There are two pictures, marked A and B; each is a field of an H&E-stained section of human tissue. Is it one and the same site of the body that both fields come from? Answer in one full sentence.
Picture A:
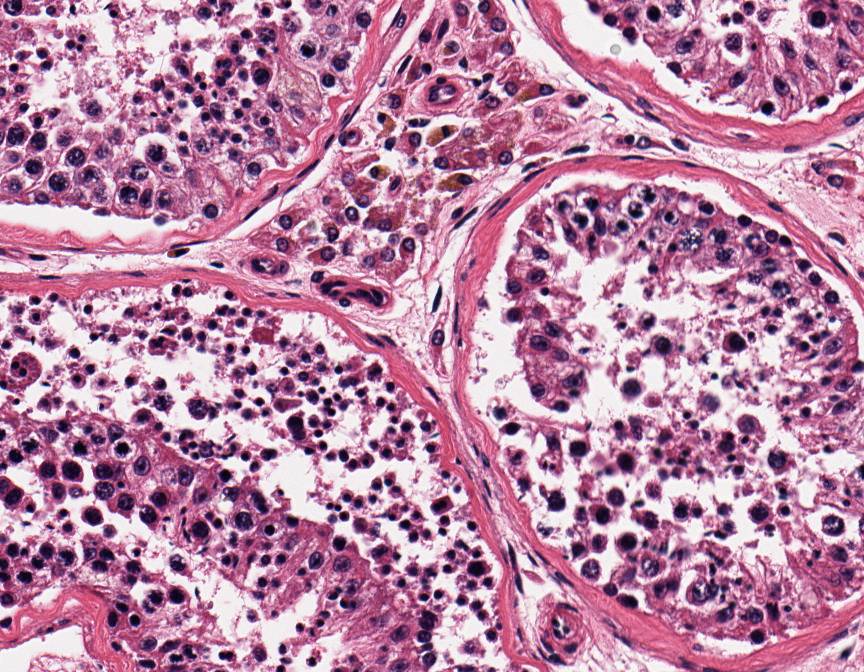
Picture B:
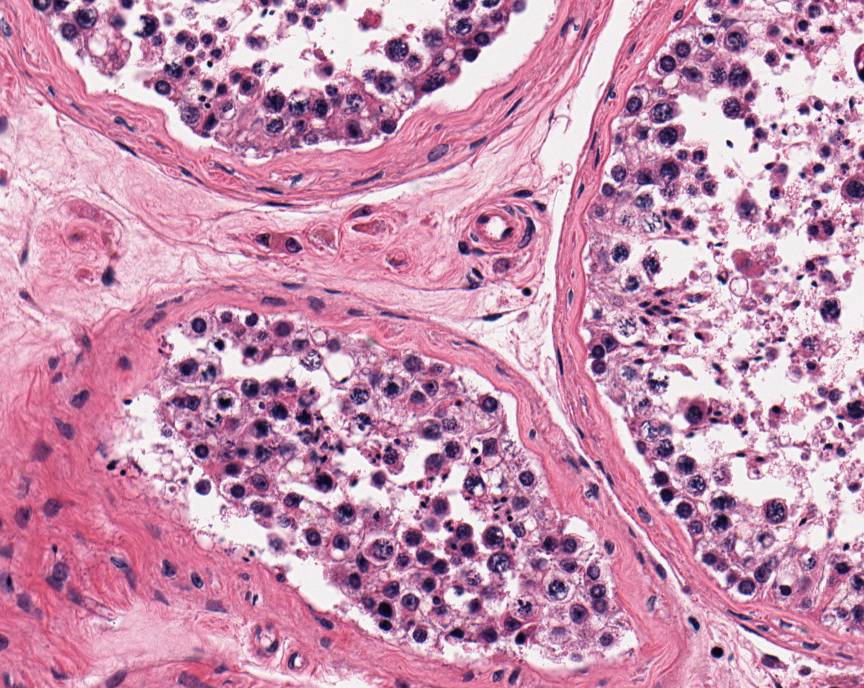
Yes, both come from the testis.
